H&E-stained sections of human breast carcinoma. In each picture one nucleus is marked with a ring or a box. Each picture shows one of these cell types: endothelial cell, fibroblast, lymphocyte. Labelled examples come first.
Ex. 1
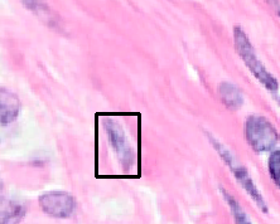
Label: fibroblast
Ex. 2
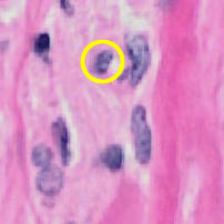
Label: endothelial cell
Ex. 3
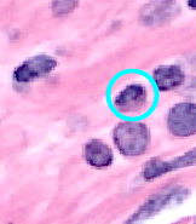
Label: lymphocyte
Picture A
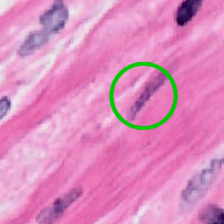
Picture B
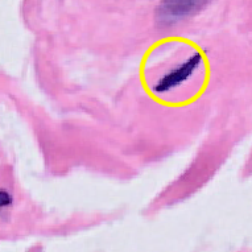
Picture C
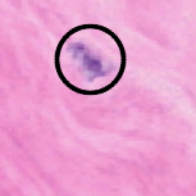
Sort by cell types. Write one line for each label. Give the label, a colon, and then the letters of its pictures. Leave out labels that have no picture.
fibroblast: A, B, C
